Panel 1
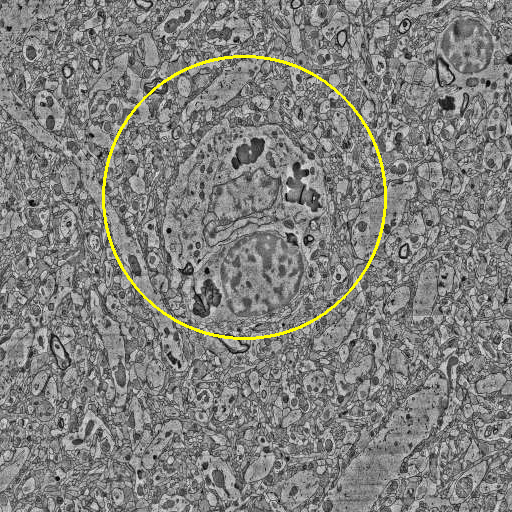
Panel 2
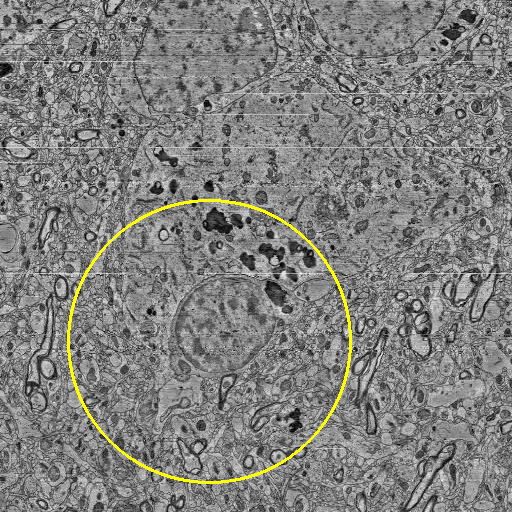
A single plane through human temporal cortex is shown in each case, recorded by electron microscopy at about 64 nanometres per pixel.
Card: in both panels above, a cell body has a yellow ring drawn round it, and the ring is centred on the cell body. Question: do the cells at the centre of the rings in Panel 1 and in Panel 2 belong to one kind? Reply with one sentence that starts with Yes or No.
No, the cells centred in the rings of Panel 1 and Panel 2 are two kinds of cell.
